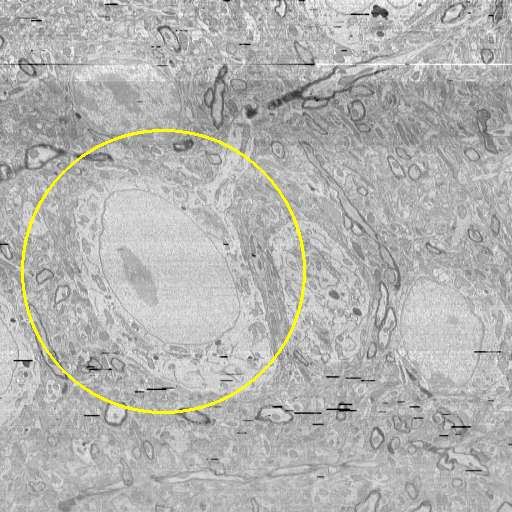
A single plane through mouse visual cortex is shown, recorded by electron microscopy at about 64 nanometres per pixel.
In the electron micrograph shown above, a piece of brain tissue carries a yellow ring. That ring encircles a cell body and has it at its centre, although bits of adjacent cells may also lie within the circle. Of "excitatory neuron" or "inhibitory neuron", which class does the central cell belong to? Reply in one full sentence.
The cell body at the centre of the yellow ring belongs to an excitatory neuron.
